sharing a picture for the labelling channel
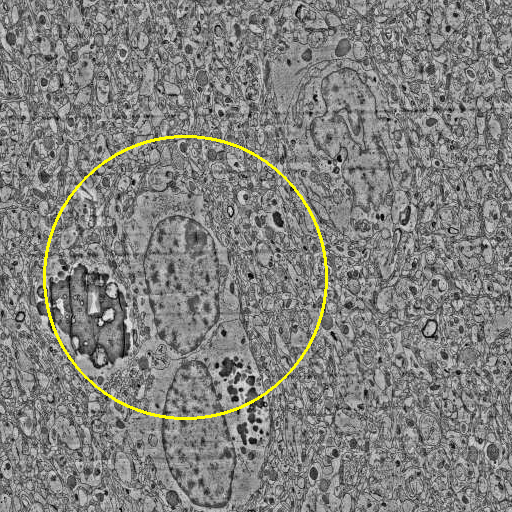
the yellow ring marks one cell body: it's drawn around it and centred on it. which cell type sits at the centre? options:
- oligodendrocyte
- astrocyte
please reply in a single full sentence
In the picture, the cell at the ring's centre is an astrocyte, going by the list.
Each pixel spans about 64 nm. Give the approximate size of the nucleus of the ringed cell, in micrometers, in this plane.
The nucleus is approximately 9 micrometres long but only about 5 wide, clearly longer than it is wide in this plane.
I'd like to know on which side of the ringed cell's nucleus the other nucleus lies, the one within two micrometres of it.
The other one lies below it.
